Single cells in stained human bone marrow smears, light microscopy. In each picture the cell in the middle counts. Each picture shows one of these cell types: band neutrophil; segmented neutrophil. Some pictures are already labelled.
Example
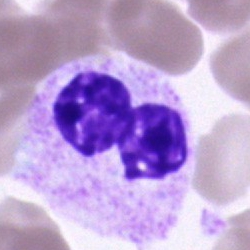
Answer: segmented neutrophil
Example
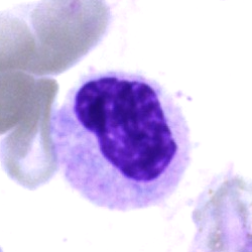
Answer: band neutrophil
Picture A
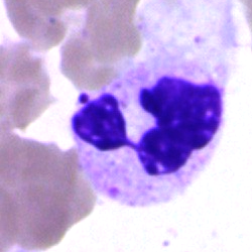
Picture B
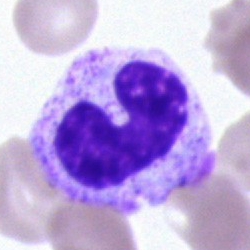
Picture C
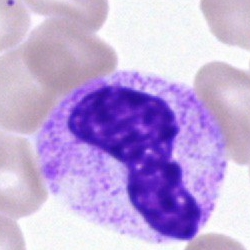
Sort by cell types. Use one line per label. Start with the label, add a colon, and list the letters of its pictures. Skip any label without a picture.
band neutrophil: B, C
segmented neutrophil: A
